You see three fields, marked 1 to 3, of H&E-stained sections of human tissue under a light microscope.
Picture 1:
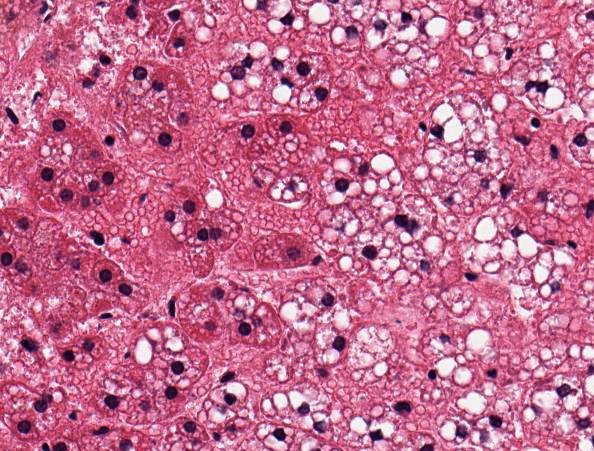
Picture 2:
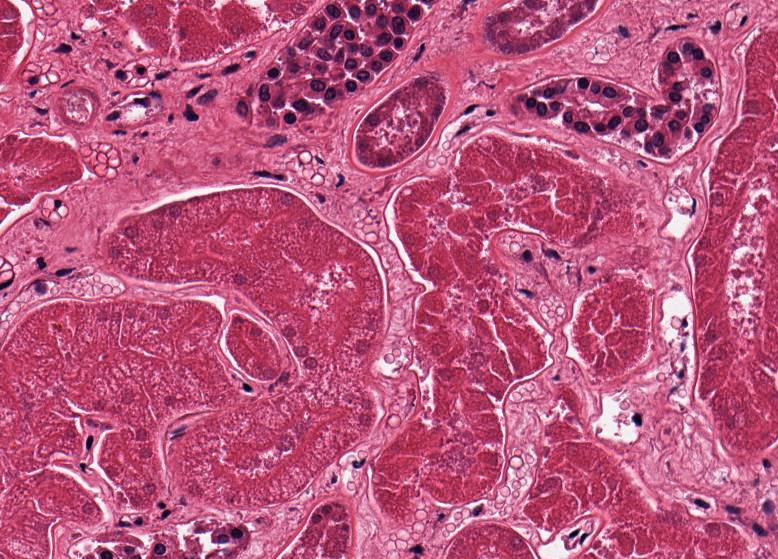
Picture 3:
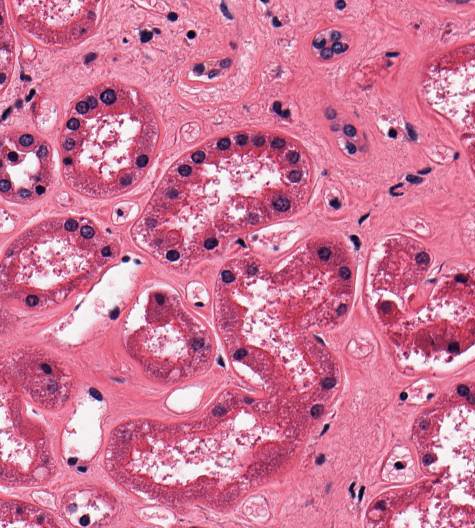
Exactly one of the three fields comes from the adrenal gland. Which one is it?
1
